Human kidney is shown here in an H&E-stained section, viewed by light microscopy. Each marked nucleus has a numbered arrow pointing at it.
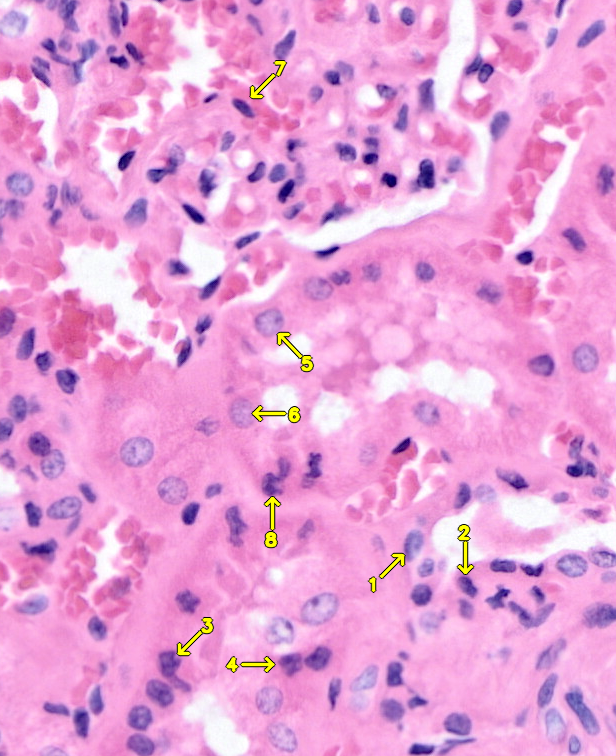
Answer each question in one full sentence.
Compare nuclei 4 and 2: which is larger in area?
At about 1.5 times the area of nucleus 2, nucleus 4 is the larger of the two.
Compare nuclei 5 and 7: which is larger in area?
The larger nucleus is 5, at roughly 2 times the area of 7.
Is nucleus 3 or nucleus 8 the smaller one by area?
Nucleus 8 covers less area, with nucleus 3 about 1.5 times as large.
